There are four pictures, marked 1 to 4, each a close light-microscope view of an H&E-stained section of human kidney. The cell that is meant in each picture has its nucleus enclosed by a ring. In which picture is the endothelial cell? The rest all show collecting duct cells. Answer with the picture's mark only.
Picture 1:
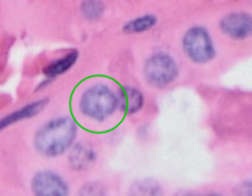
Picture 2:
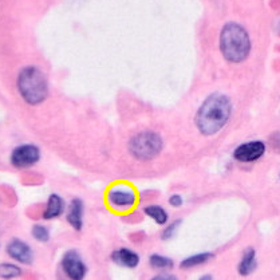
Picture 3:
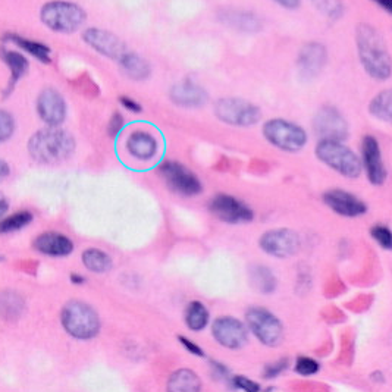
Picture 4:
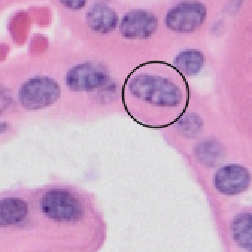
2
